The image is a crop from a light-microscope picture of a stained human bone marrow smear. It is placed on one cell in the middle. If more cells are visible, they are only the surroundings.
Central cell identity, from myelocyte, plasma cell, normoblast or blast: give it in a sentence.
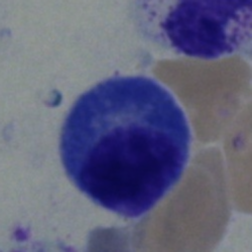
The cell occupying the middle of the crop is a plasma cell.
